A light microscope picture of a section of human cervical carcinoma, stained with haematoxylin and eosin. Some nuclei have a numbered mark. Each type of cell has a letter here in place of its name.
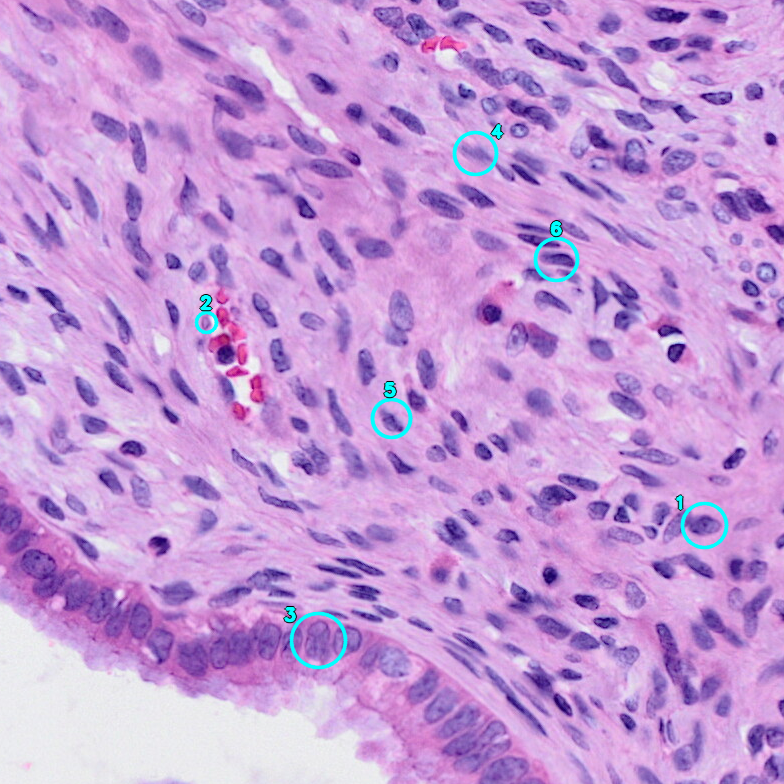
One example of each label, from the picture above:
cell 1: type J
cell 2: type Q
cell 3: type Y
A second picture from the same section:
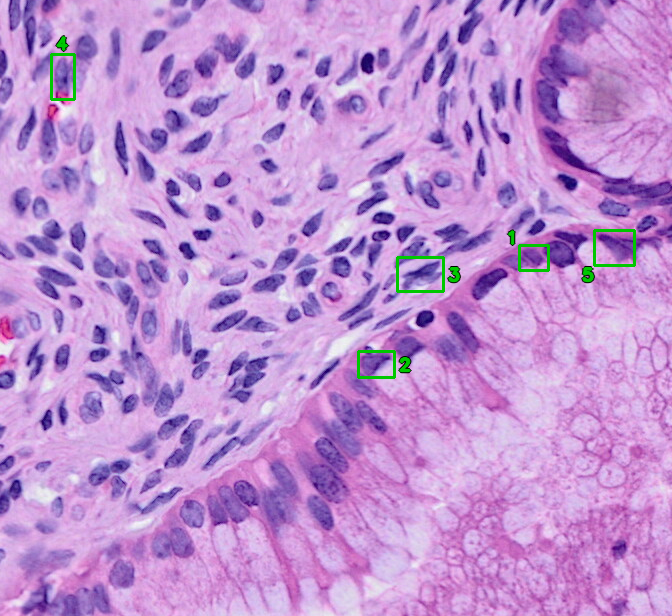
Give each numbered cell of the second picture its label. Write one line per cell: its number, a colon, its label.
1: type Y
2: type Y
3: type J
4: type Q
5: type Y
